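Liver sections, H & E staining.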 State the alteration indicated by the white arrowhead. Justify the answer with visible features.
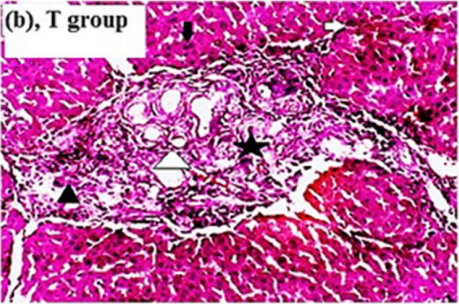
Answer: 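The white arrowhead points into a cluster of many small round duct-like profiles with open lumens. These ducts sit within the pale fibrous area.
Answer: bile duct hyperplasia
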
